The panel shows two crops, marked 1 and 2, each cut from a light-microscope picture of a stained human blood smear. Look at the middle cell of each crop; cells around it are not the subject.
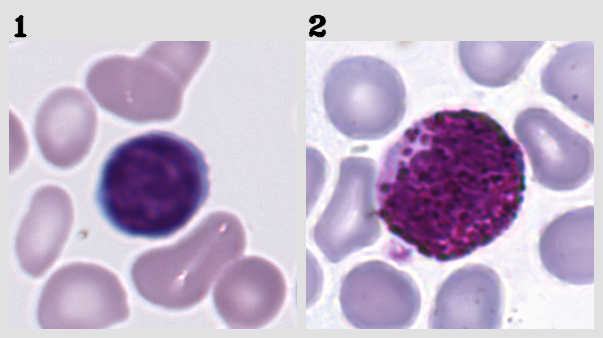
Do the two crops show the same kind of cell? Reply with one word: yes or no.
no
